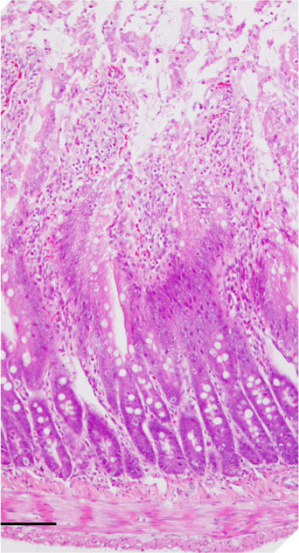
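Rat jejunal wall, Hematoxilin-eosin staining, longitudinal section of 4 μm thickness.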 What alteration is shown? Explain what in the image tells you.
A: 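No distinct villi remain above the crypts. The upper mucosa is a disorganized, pale, fragmented mass. So: Loss of villi, mucosal ulceration and necrosis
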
